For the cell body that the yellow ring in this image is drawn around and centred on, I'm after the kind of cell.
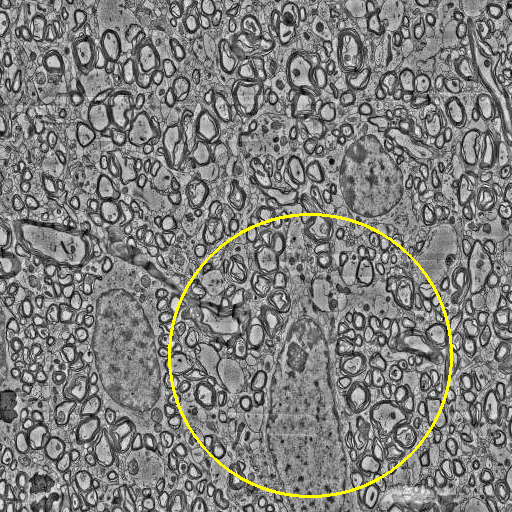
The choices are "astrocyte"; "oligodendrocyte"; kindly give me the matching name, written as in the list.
astrocyte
